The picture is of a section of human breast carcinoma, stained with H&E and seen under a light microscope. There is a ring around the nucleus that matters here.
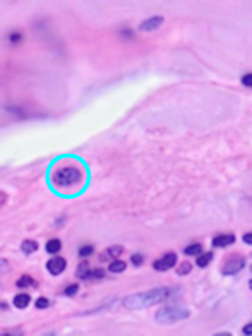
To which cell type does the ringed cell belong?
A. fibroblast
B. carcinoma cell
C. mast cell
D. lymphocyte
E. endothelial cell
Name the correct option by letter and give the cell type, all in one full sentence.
Option C wins here: the ringed cell is a mast cell.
